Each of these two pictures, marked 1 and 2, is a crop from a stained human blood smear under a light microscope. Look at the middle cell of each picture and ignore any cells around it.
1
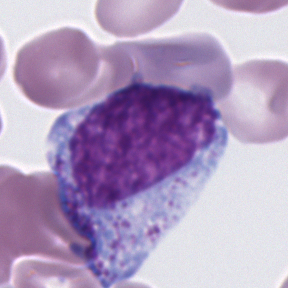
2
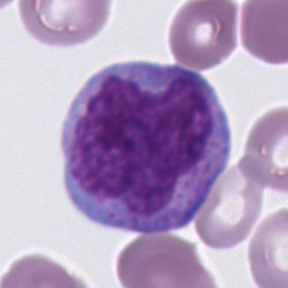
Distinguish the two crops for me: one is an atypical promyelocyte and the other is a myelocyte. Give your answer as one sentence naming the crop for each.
Among the crops, crop 1 is a myelocyte and crop 2 is an atypical promyelocyte.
